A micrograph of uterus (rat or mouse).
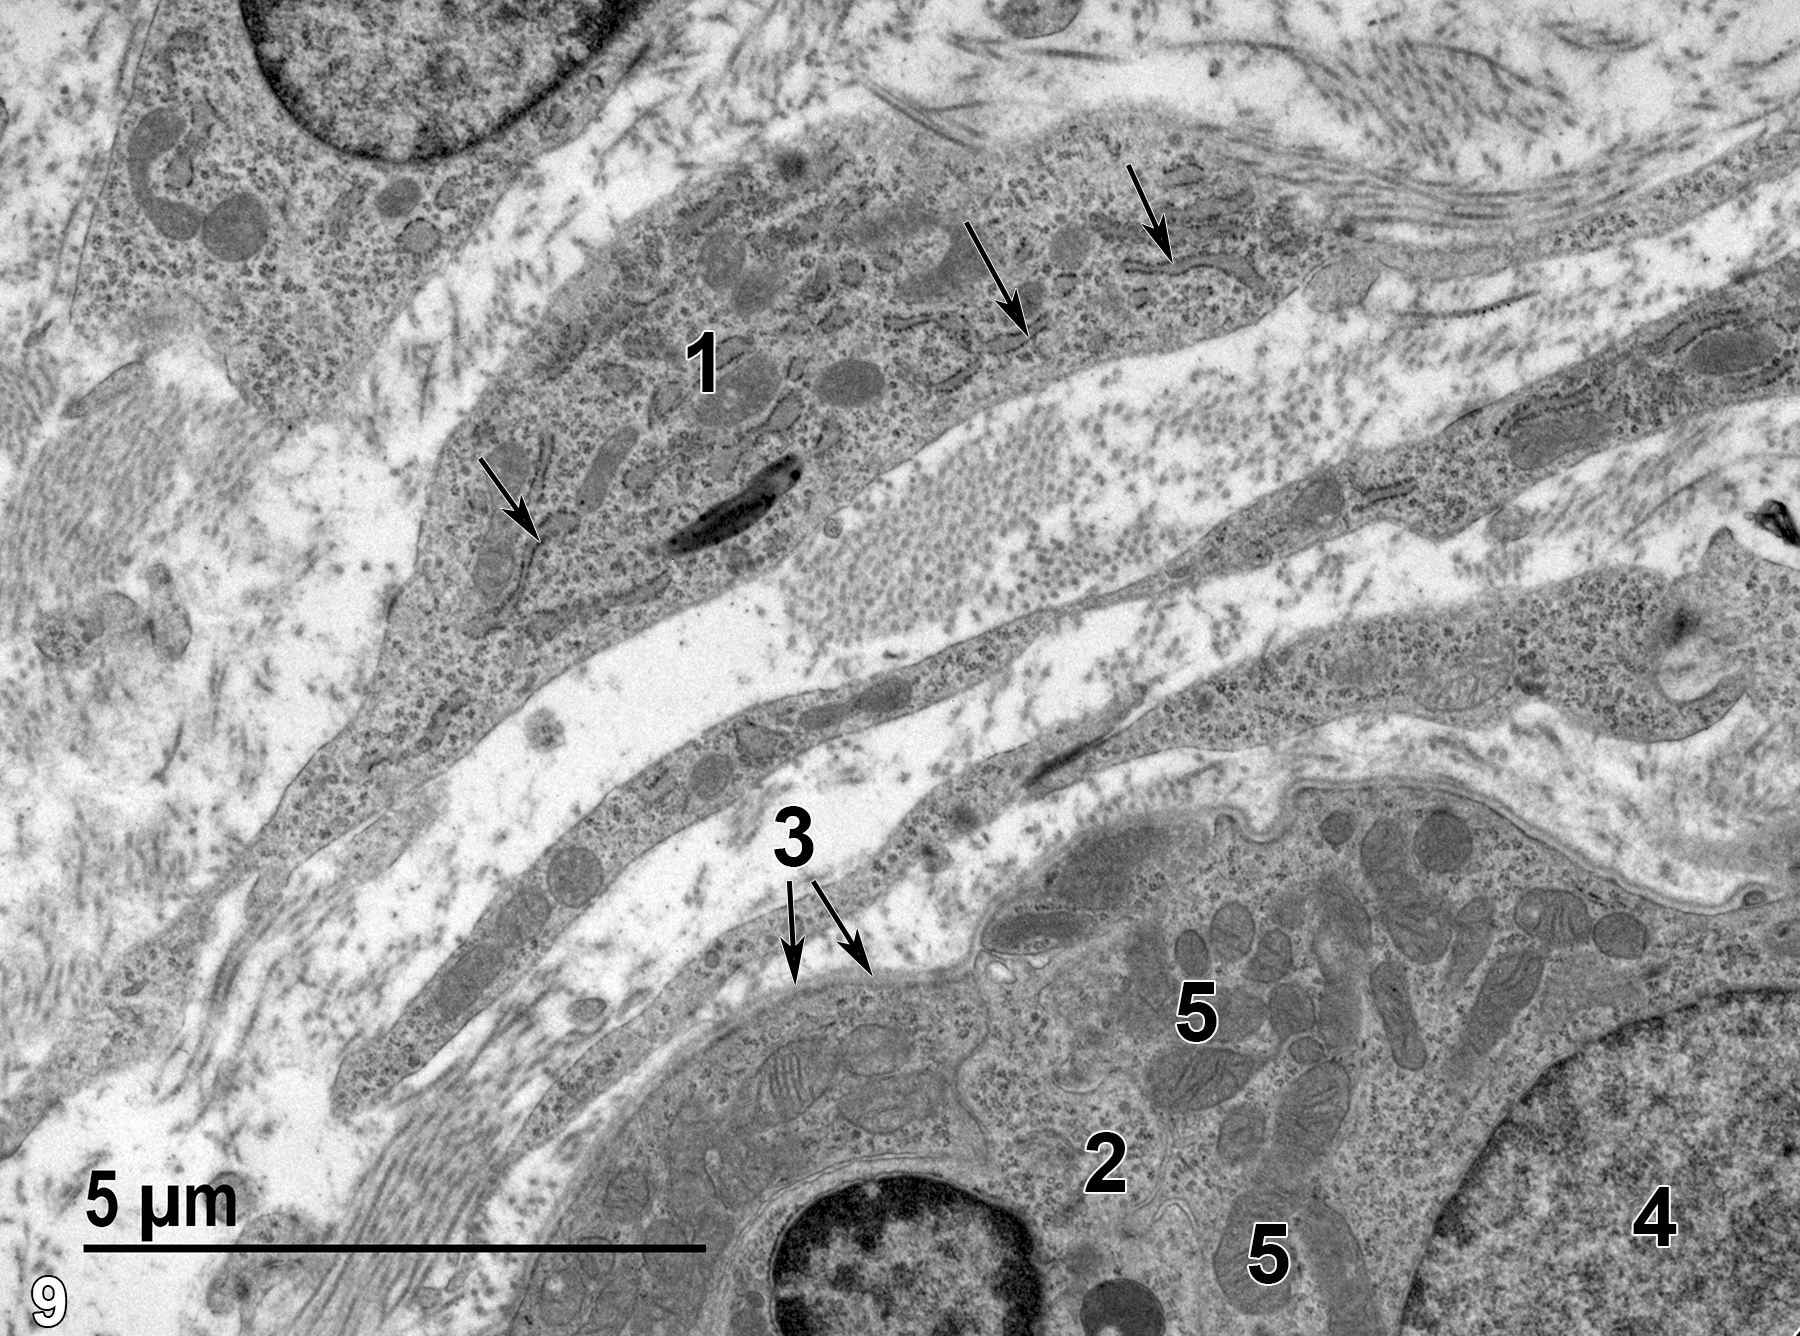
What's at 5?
At 5: mitochondria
